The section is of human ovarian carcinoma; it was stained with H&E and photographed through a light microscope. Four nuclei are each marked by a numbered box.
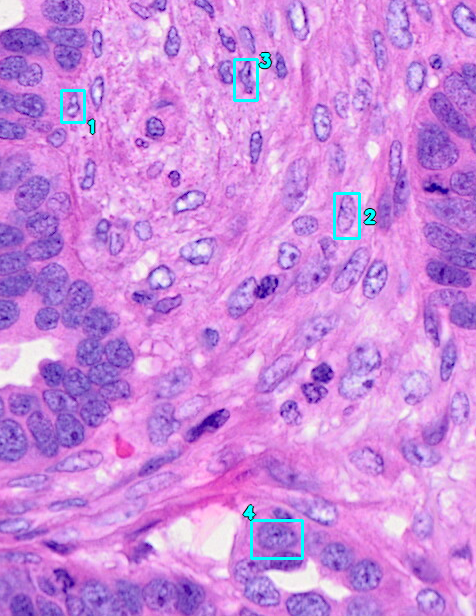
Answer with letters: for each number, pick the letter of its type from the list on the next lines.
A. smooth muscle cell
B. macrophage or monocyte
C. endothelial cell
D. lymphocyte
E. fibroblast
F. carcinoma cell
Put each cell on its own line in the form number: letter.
1: E
2: E
3: E
4: F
